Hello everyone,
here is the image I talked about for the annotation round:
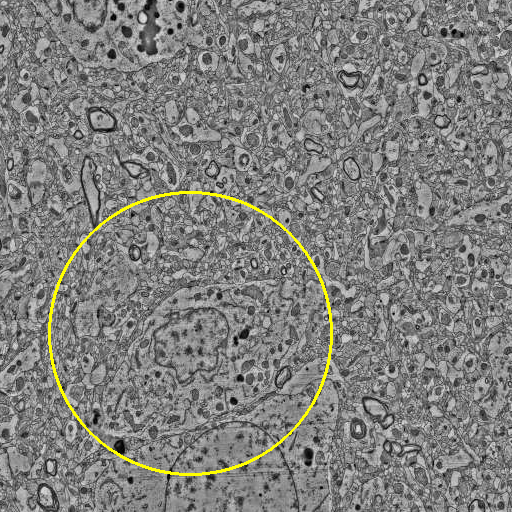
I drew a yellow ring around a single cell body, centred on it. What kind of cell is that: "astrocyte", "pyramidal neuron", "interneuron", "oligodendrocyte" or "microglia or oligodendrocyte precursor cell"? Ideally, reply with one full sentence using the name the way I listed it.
The cell your yellow ring is centred on is an interneuron, going by your list.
